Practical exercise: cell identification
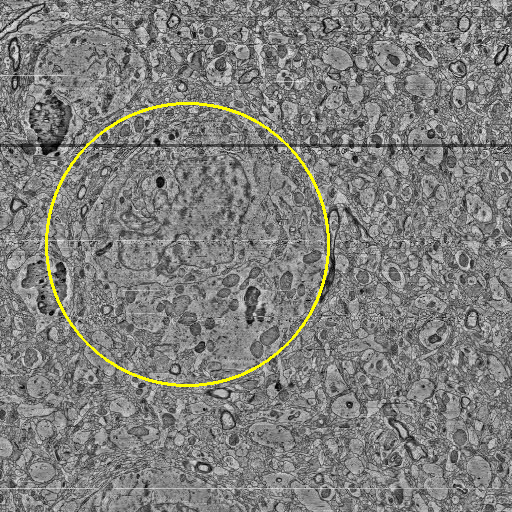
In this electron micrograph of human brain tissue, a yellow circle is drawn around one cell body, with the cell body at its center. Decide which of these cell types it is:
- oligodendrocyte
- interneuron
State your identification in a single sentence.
The ringed cell is an interneuron.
